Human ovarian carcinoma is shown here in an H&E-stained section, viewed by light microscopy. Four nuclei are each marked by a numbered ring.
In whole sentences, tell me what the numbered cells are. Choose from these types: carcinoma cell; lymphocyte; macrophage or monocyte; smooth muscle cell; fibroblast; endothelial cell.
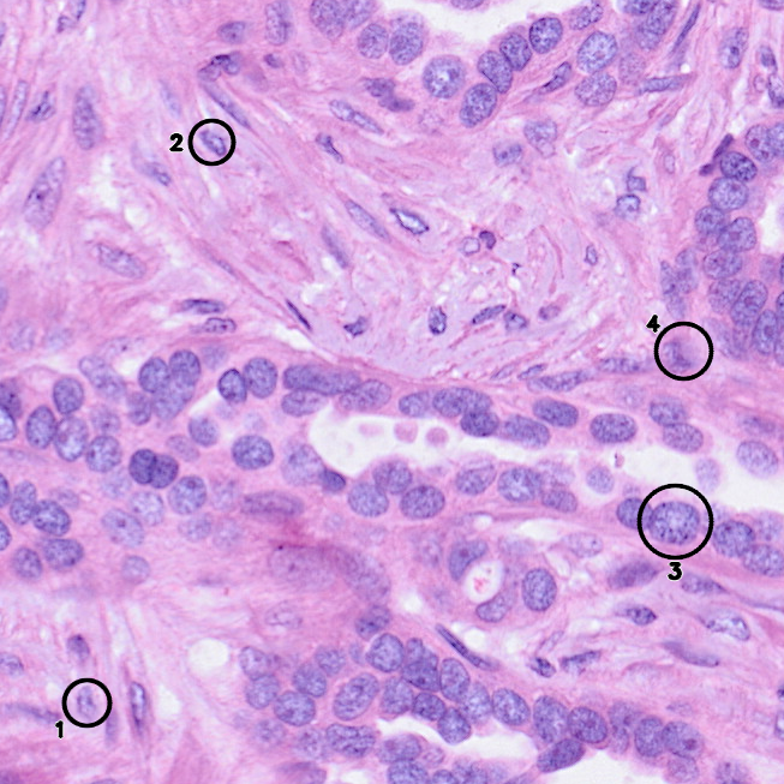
Cell 1 is a fibroblast, cell 2 is a fibroblast, cell 3 is a carcinoma cell and cell 4 is a fibroblast.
